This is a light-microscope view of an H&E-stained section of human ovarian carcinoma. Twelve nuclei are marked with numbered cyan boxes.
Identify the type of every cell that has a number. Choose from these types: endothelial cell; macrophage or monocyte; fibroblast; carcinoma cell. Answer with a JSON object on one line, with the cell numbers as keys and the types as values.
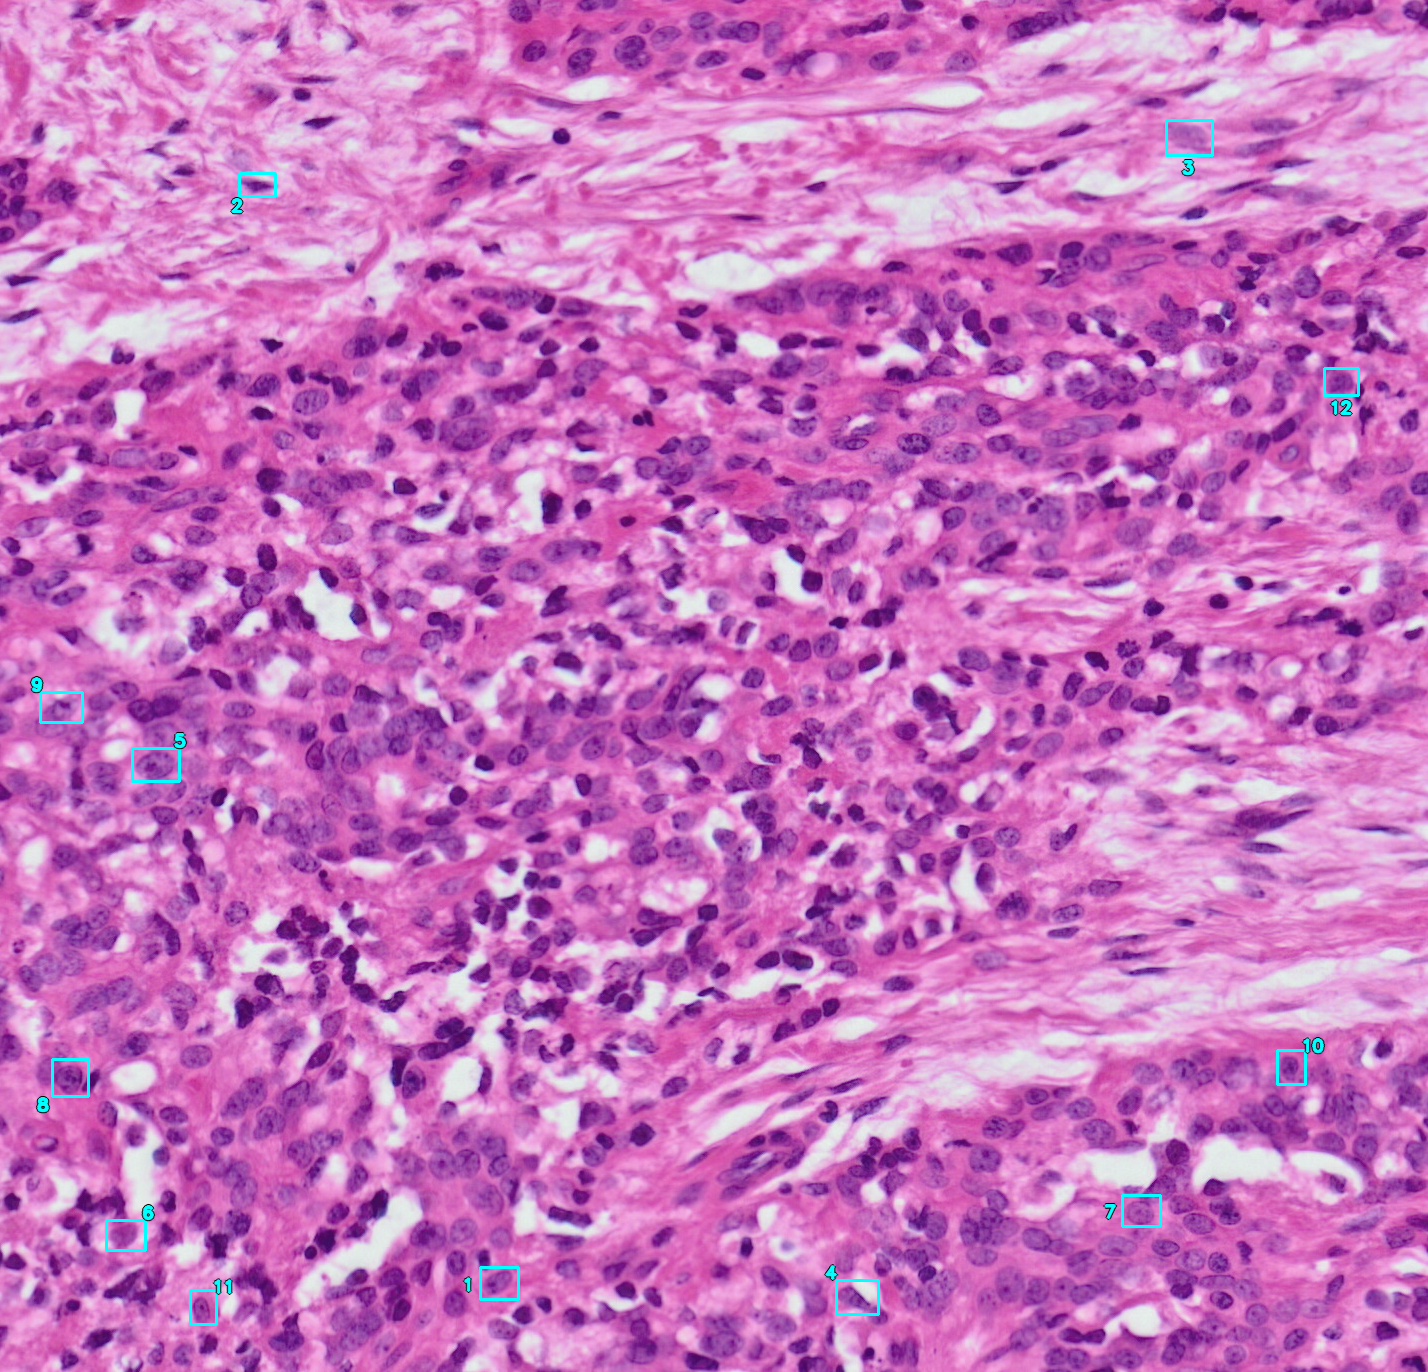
{"1": "macrophage or monocyte", "2": "fibroblast", "3": "fibroblast", "4": "carcinoma cell", "5": "carcinoma cell", "6": "carcinoma cell", "7": "carcinoma cell", "8": "carcinoma cell", "9": "carcinoma cell", "10": "macrophage or monocyte", "11": "macrophage or monocyte", "12": "carcinoma cell"}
